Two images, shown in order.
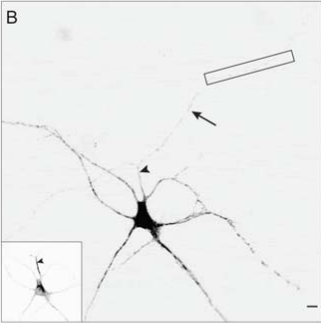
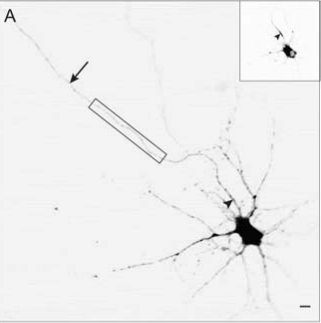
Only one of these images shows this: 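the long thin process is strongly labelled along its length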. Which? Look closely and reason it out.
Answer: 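First image: the long thin process is faint and barely visible beyond the cell body.
Conclusion: the second image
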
